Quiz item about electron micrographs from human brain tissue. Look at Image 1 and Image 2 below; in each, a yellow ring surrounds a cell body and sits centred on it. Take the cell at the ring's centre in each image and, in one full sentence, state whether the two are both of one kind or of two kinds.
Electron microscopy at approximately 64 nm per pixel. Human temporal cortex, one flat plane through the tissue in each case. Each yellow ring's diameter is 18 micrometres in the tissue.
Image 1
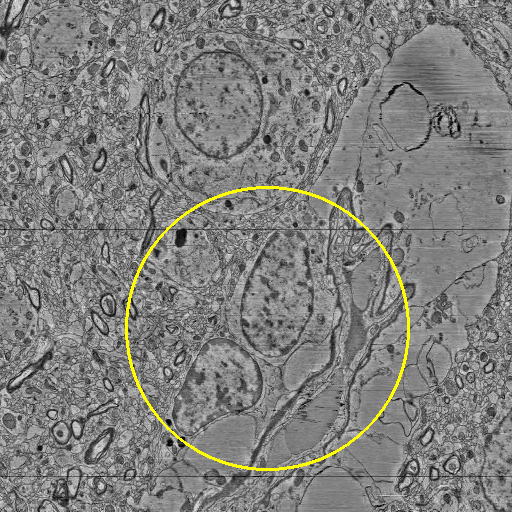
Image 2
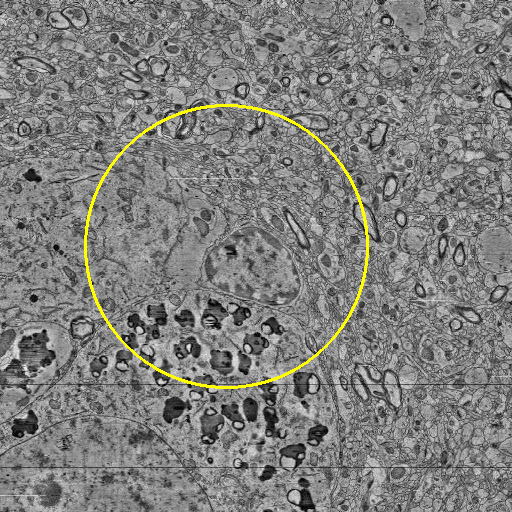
In Image 1 and Image 2, the cells at the ring centres are both of one kind.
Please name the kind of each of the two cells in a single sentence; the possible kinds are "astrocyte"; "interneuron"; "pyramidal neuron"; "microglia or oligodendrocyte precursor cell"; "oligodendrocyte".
Both rings mark a microglial cell or oligodendrocyte precursor cell, one in each picture.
